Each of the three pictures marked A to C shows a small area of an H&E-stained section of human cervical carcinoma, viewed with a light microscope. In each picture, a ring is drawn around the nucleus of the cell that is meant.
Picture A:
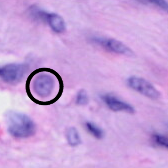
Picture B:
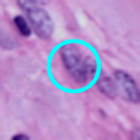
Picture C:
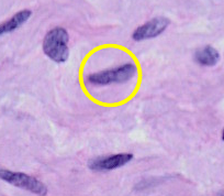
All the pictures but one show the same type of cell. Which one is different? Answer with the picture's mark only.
C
